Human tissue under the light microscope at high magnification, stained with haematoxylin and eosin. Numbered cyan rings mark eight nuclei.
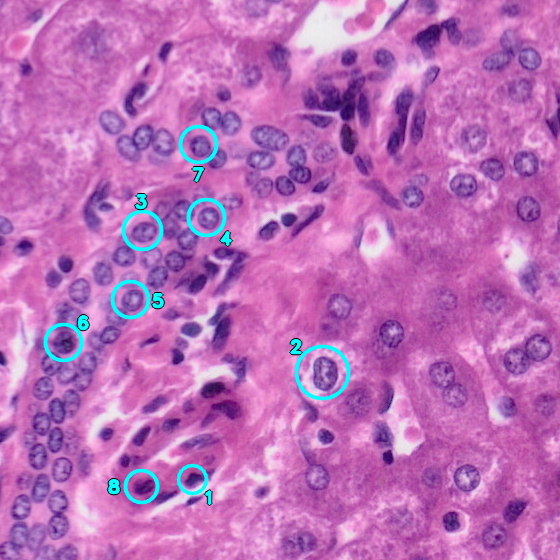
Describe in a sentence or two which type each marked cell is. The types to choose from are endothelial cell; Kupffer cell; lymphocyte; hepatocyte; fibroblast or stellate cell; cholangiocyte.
Cell 1 is a fibroblast or stellate cell, cell 2 is a hepatocyte, cell 3 is a cholangiocyte, cell 4 is a cholangiocyte, cell 5 is a cholangiocyte, cell 6 is a cholangiocyte, cell 7 is a cholangiocyte and cell 8 is a fibroblast or stellate cell.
